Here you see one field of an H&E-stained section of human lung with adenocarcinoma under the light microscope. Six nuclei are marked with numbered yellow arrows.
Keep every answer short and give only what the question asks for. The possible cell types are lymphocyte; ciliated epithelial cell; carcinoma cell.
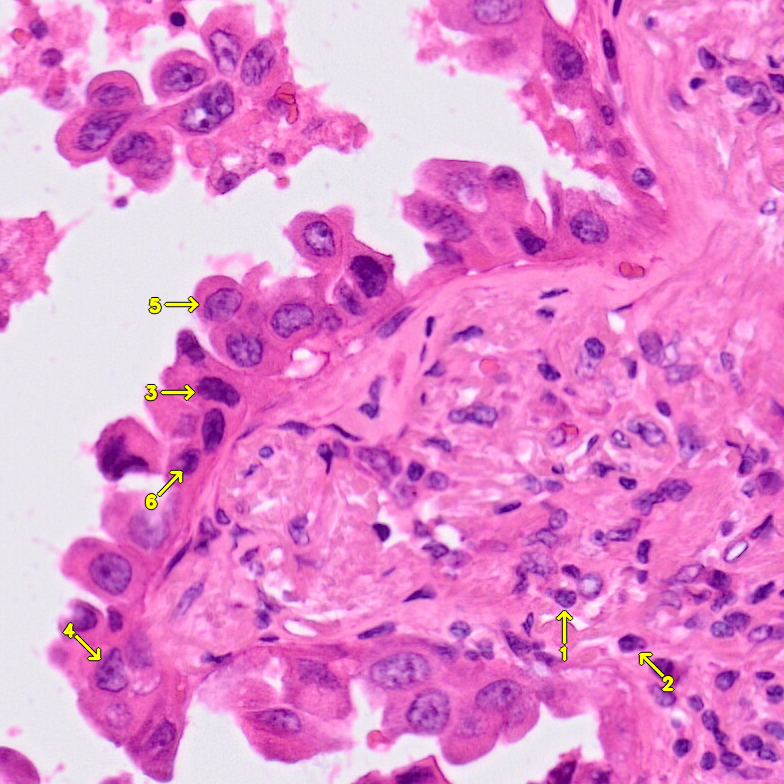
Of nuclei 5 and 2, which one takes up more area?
5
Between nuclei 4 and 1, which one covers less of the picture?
1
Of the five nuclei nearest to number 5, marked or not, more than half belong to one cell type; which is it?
carcinoma cell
